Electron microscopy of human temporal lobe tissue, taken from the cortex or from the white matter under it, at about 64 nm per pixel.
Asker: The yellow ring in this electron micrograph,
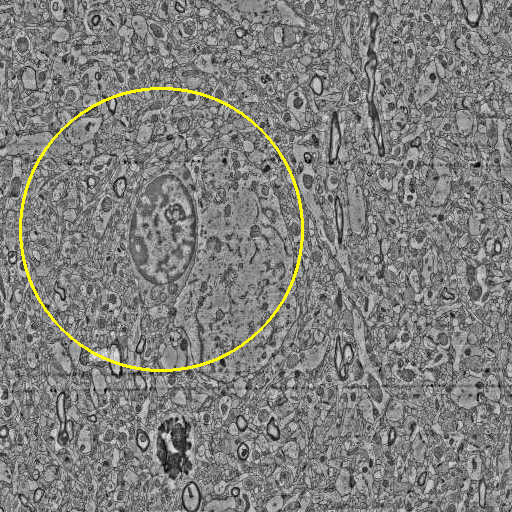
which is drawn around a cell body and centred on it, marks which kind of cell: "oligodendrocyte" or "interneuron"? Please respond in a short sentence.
The marked cell is an oligodendrocyte.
